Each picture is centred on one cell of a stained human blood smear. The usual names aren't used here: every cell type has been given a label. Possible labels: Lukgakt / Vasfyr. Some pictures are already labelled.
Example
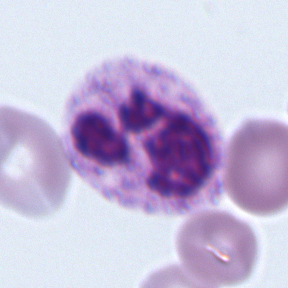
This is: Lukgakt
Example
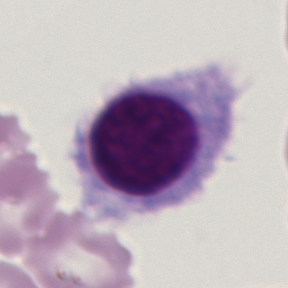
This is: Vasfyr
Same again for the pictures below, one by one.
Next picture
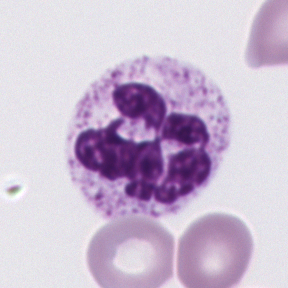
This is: Lukgakt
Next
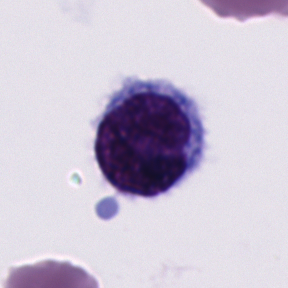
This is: Vasfyr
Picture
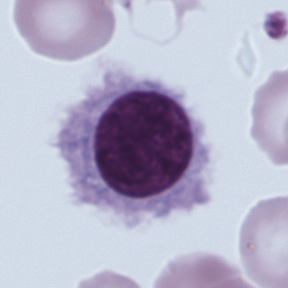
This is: Vasfyr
